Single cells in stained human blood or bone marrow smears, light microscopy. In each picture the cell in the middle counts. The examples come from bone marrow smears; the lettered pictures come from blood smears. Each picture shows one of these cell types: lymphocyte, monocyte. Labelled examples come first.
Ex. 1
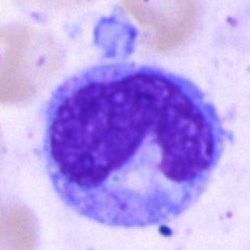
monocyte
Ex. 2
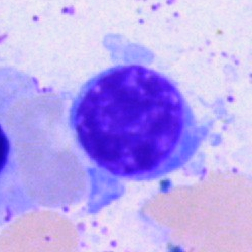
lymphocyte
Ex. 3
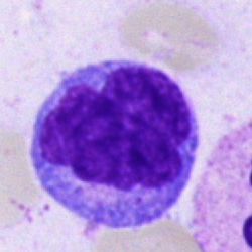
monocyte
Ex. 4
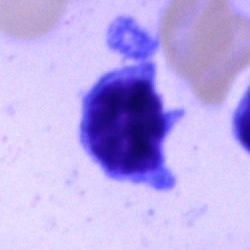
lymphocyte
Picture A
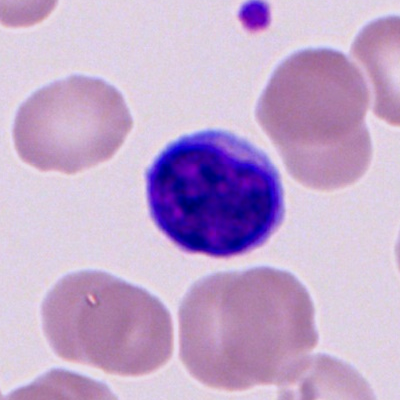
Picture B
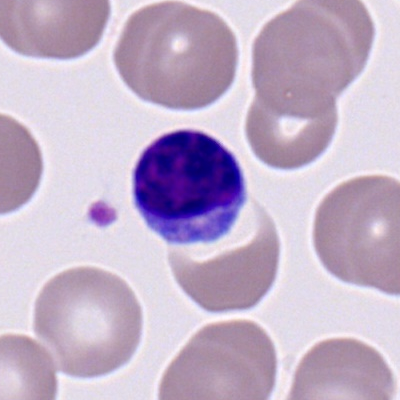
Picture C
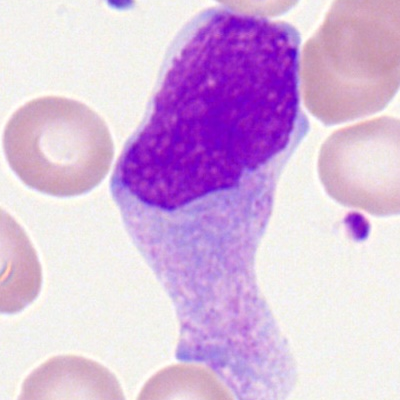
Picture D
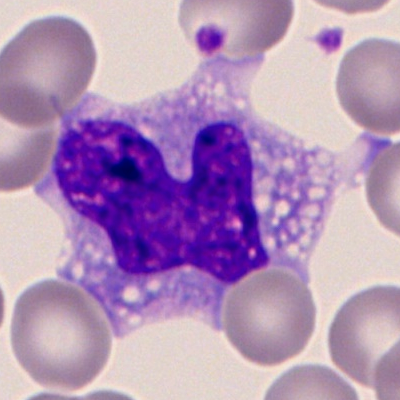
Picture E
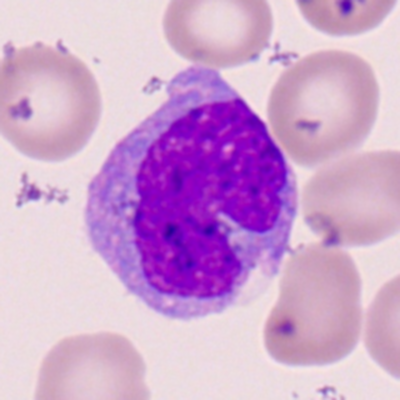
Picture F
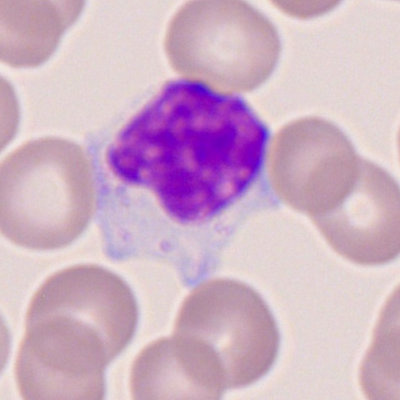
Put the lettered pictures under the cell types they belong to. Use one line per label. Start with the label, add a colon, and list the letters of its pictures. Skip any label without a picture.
lymphocyte: A, B, F
monocyte: C, D, E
